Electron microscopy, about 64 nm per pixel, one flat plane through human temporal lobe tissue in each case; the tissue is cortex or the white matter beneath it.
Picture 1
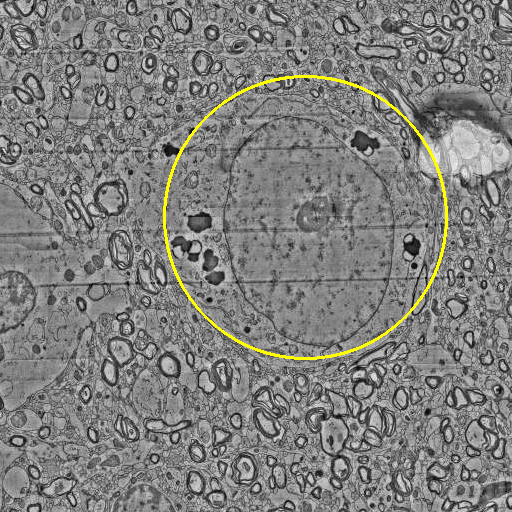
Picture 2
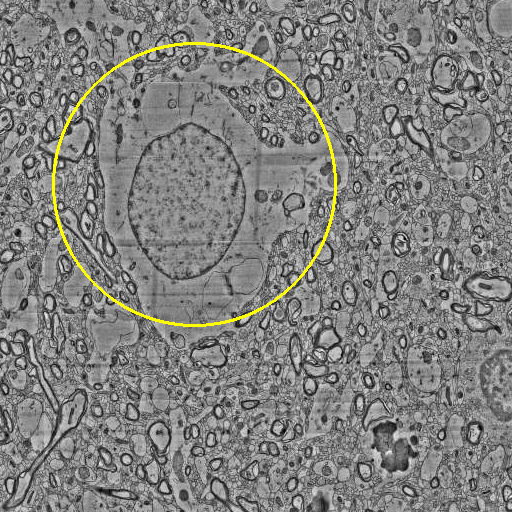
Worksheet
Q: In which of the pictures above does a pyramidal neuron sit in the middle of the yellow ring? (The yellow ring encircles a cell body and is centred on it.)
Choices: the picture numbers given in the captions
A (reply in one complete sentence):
In picture 1, the cell sitting at the centre of the ring is the match.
